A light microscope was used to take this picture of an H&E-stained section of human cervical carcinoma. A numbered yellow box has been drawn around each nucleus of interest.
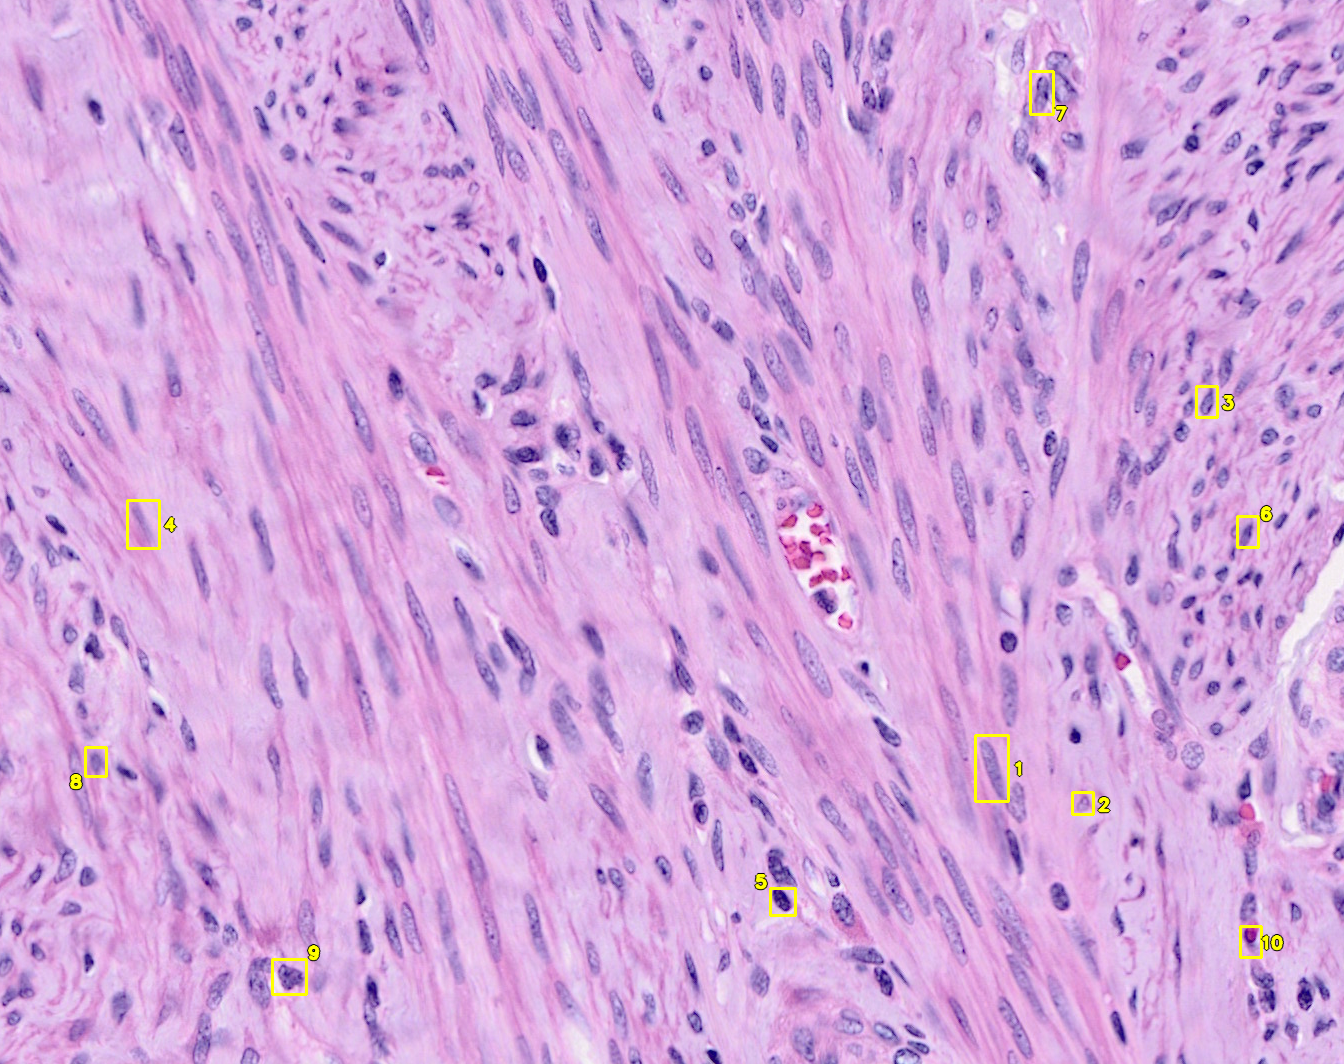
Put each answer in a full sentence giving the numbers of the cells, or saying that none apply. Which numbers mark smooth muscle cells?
Cells 1, 2, 3, 4, 6 and 8 in the section are typed as smooth muscle cells.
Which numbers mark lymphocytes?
The cells assigned the numbers 5 and 9 are lymphocytes.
